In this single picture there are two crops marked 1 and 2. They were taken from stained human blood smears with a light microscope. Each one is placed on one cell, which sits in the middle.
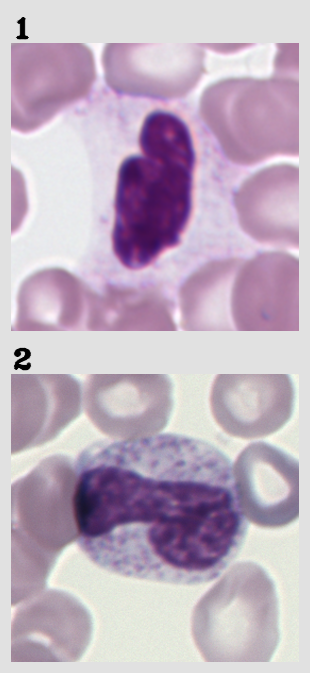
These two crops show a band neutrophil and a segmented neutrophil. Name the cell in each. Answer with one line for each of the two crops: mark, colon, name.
1: segmented neutrophil
2: band neutrophil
